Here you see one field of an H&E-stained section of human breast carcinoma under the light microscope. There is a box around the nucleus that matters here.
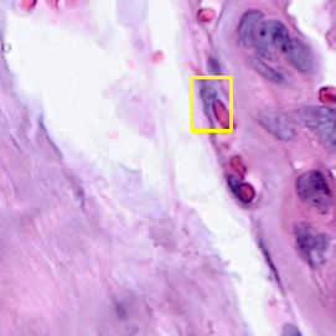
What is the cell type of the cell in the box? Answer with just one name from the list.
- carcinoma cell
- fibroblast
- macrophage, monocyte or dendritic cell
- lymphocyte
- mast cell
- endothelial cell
endothelial cell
